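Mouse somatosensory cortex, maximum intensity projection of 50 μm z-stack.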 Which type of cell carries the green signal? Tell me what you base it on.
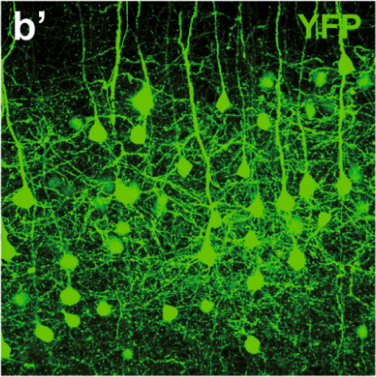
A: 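Layer V neurons. Green triangular somata with long upward-running parallel dendrites. Dense meshwork of fine green processes between the cell bodies.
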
